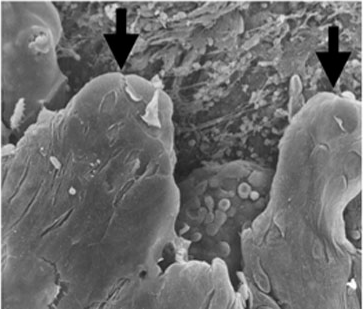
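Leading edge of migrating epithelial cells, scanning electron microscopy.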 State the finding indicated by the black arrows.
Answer: elevated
